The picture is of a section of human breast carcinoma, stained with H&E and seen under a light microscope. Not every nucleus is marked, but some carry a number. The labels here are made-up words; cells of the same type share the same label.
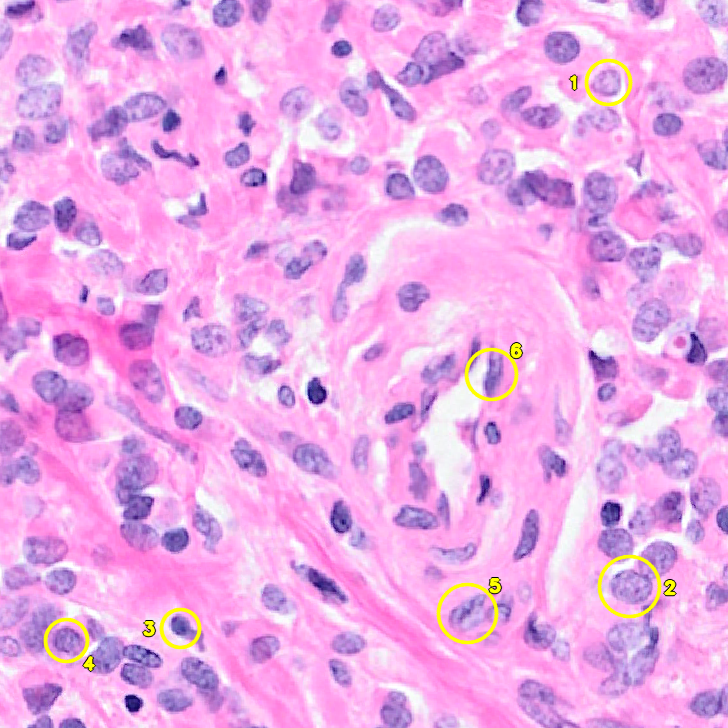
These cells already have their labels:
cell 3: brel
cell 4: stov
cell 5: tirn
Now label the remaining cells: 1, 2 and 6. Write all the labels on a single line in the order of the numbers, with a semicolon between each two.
stov; stov; tirn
